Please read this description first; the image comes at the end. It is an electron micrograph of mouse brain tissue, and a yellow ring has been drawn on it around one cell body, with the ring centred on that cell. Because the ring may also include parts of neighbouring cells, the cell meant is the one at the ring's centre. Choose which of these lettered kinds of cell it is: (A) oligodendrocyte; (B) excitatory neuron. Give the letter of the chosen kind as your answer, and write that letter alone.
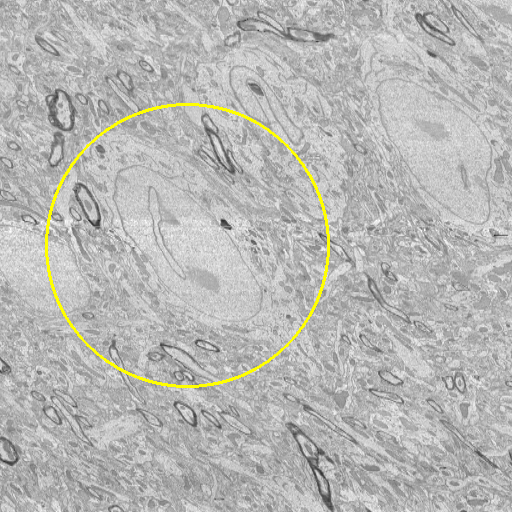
B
